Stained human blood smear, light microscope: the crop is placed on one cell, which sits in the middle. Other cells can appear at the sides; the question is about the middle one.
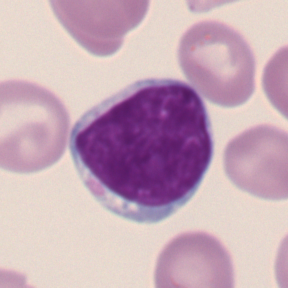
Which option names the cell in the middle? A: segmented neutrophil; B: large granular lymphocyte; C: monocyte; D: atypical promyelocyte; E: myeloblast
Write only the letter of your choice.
B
